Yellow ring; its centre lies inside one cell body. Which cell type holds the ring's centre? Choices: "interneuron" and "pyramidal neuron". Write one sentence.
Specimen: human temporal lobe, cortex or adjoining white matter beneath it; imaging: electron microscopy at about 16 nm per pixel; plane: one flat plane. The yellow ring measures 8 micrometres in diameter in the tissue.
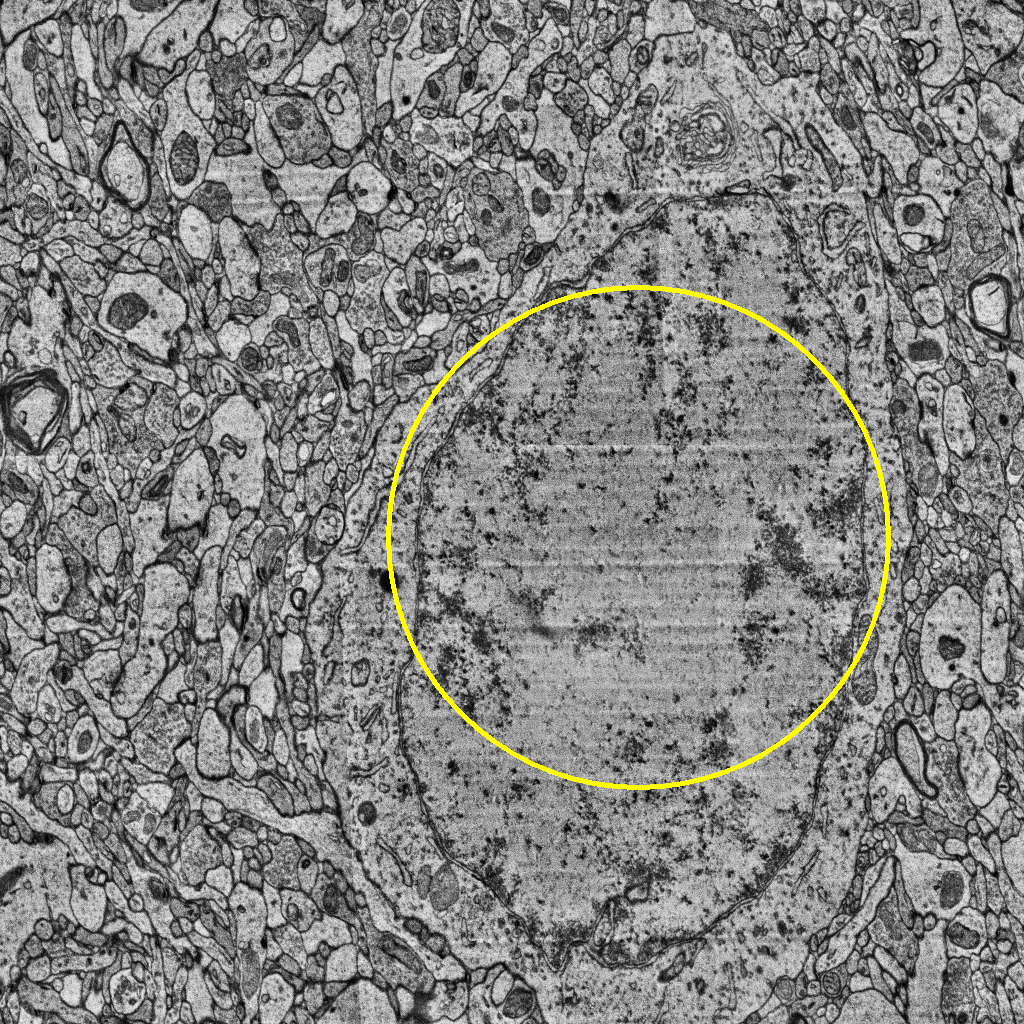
At the centre of the ring sits an interneuron.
